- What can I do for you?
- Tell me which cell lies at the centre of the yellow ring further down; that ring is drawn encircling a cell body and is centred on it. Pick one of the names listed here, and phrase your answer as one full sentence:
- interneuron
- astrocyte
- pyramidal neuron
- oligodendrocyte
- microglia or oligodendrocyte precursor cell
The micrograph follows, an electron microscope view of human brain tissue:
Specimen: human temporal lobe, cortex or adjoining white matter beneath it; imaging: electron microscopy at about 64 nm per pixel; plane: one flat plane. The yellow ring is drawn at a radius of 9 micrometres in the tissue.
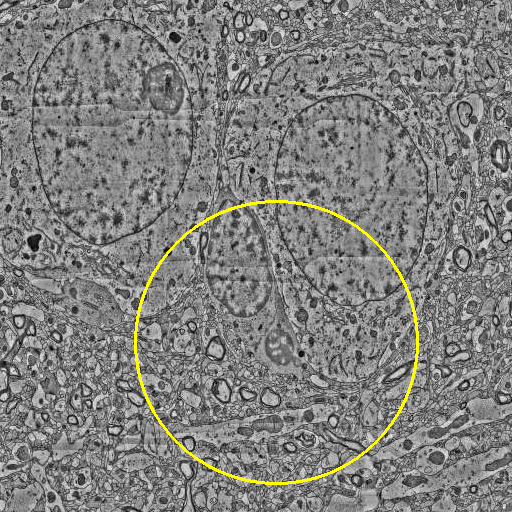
The cell whose body lies at the centre of the yellow ring is an oligodendrocyte.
